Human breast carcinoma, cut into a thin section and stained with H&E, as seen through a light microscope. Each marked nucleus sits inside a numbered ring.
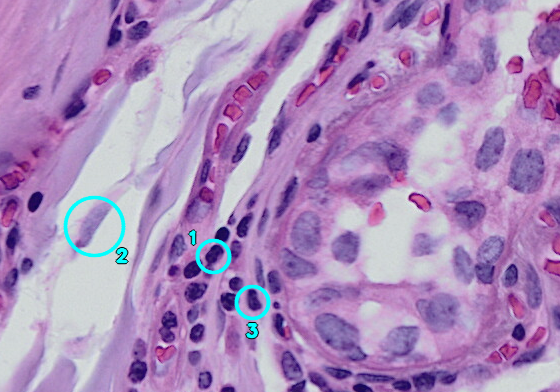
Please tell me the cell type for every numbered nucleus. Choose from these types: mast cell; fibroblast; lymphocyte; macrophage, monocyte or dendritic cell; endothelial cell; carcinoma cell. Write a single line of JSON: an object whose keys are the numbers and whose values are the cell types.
{"1": "lymphocyte", "2": "fibroblast", "3": "lymphocyte"}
